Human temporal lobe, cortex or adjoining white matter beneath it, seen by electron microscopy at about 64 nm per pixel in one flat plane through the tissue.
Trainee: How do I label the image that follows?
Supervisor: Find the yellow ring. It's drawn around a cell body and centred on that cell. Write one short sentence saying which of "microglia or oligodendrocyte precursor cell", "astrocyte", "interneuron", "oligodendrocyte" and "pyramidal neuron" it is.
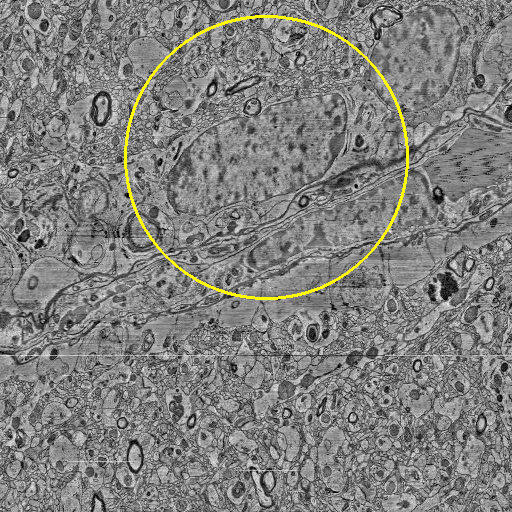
This is the cell body of a microglial cell or oligodendrocyte precursor cell.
